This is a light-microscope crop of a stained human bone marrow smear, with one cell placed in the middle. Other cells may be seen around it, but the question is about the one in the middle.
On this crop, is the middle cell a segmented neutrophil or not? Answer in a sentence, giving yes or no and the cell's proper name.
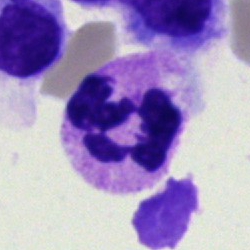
Yes, the cell found in the center of the crop is a segmented neutrophil.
